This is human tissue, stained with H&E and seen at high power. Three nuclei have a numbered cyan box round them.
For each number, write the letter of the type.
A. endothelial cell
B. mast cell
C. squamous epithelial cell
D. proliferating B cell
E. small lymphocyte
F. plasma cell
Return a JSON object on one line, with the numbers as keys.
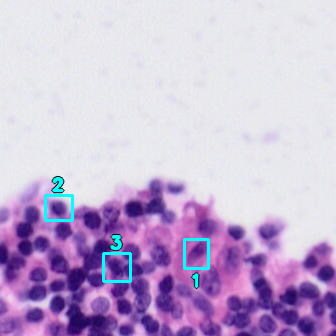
{"1": "A", "2": "E", "3": "E"}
